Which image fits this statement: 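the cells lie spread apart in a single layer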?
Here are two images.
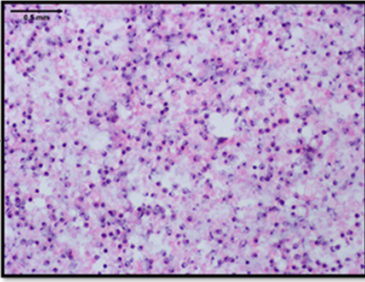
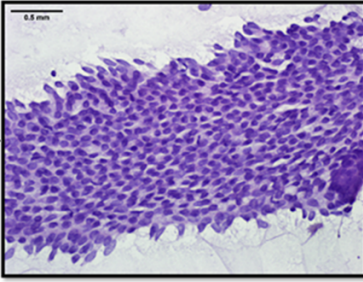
the first image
